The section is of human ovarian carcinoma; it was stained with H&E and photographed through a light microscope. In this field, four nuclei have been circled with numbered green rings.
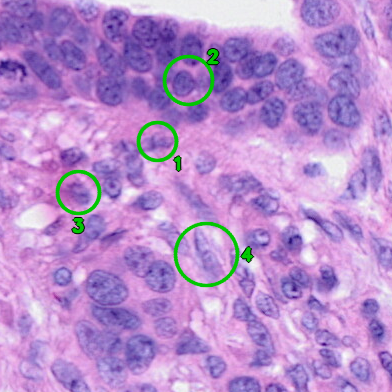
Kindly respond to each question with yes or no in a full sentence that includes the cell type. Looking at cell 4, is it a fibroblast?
Yes, the cell to which number 4 refers is a fibroblast.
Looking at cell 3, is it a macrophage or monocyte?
Yes, the number 3 belongs to a macrophage or monocyte.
